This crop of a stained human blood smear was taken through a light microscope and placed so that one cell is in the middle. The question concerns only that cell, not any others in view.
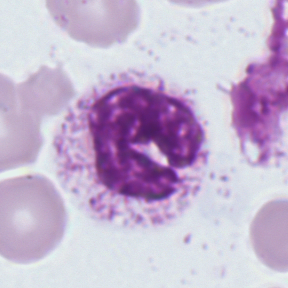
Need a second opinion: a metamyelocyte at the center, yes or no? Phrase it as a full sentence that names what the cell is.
No, the middle of this crop is occupied by a band neutrophil rather than a metamyelocyte.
